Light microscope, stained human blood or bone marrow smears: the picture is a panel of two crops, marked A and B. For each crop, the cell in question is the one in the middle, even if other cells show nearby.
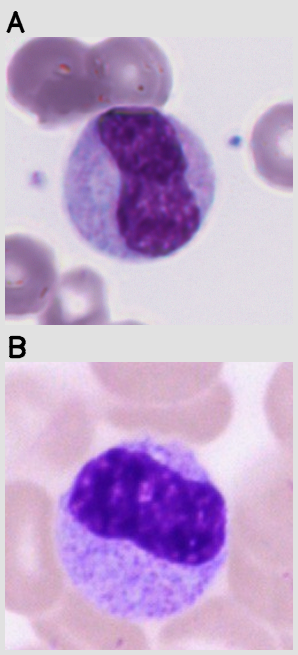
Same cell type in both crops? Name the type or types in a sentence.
Yes, in both crops the centred cells are metamyelocytes.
